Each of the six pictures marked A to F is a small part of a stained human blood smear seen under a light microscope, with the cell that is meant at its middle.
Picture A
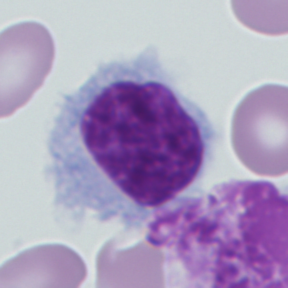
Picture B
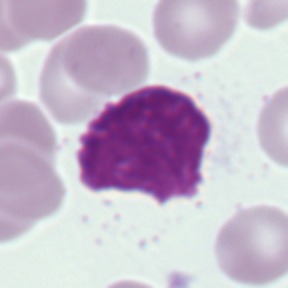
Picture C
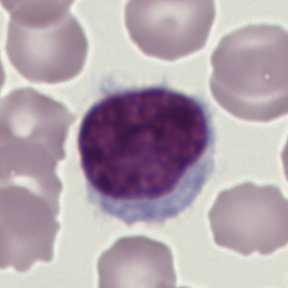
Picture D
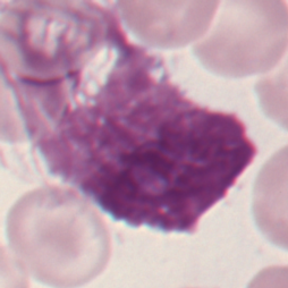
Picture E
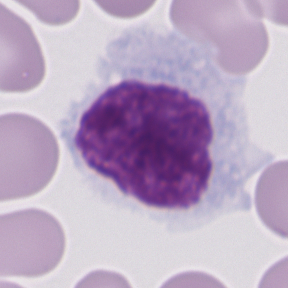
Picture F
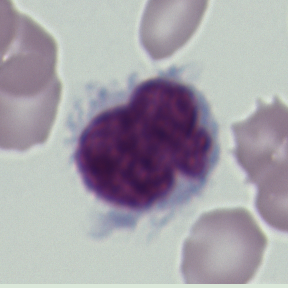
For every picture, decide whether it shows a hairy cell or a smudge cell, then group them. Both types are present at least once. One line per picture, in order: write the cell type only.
hairy cell
smudge cell
hairy cell
smudge cell
hairy cell
hairy cell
